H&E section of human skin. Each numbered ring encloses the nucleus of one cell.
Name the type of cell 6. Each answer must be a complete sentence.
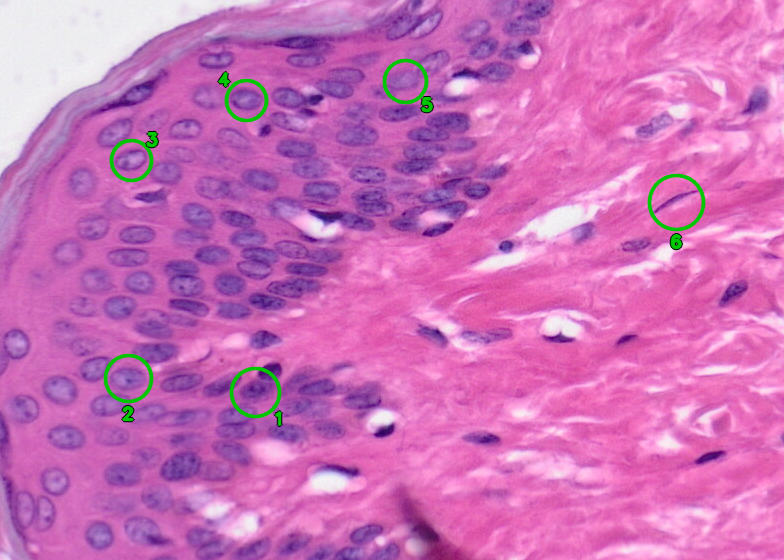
The cell indicated by marker 6 is a fibroblast in this section.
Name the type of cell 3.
The marked cell bearing number 3 is a suprabasal keratinocyte.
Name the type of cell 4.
In this section, the cell numbered 4 is a suprabasal keratinocyte.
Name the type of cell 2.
The cell that is numbered 2 is a suprabasal keratinocyte.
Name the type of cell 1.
Here, the cell given the number 1 is a basal keratinocyte.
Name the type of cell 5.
The mark numbered 5 indicates the nucleus of a suprabasal keratinocyte.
